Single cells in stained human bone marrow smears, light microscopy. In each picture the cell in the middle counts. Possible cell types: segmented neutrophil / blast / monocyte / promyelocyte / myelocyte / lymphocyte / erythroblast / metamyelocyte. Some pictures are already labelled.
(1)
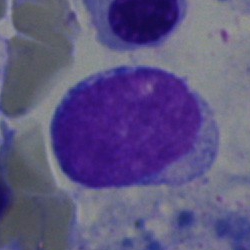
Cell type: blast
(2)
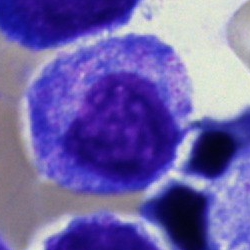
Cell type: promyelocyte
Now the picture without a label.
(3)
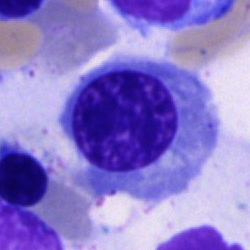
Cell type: erythroblast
